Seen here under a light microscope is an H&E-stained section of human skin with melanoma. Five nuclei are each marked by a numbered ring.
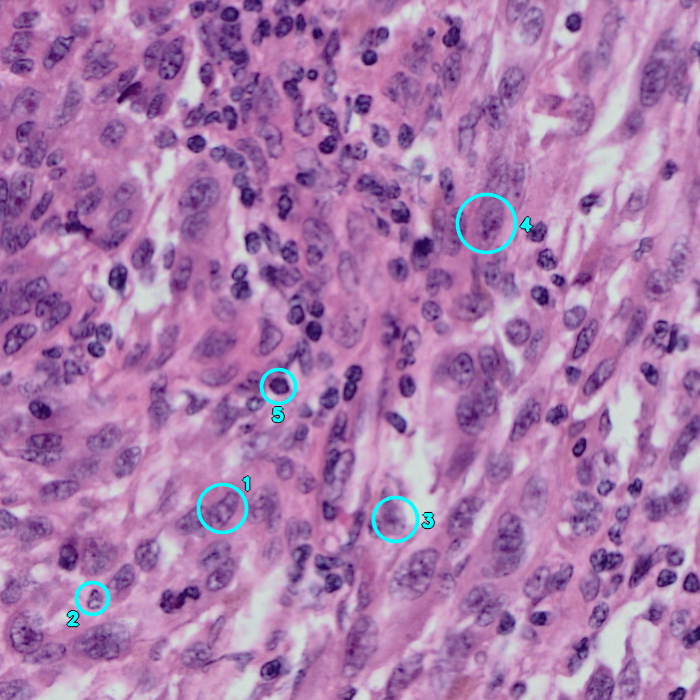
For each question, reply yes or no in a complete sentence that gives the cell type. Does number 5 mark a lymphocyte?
Yes, the cell numbered 5 in this tissue is a lymphocyte.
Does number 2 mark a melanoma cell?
No, it is a lymphocyte, rather than a melanoma cell, that carries number 2.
